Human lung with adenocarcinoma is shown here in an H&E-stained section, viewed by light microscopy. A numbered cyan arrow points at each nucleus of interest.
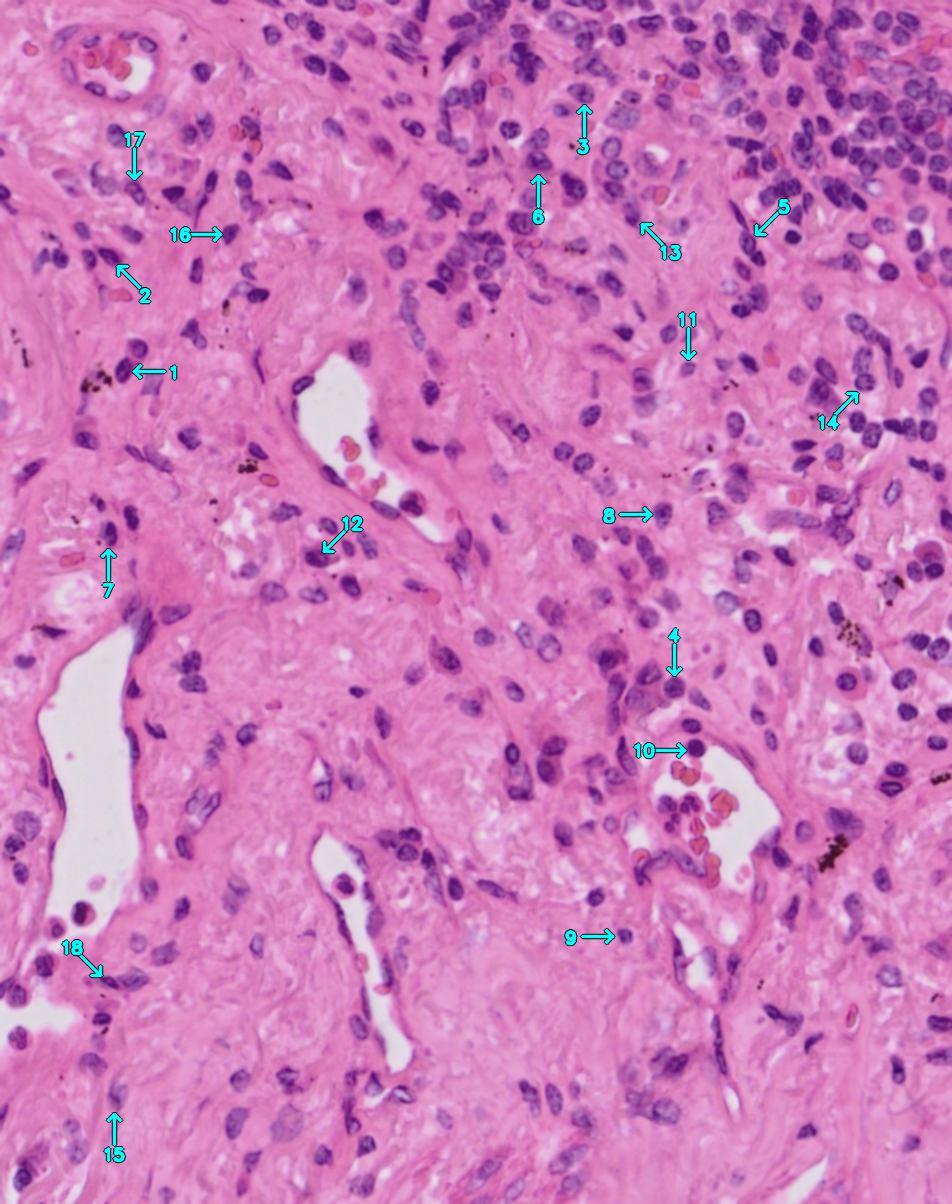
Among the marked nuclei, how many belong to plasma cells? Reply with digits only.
8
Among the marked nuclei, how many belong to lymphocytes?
9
